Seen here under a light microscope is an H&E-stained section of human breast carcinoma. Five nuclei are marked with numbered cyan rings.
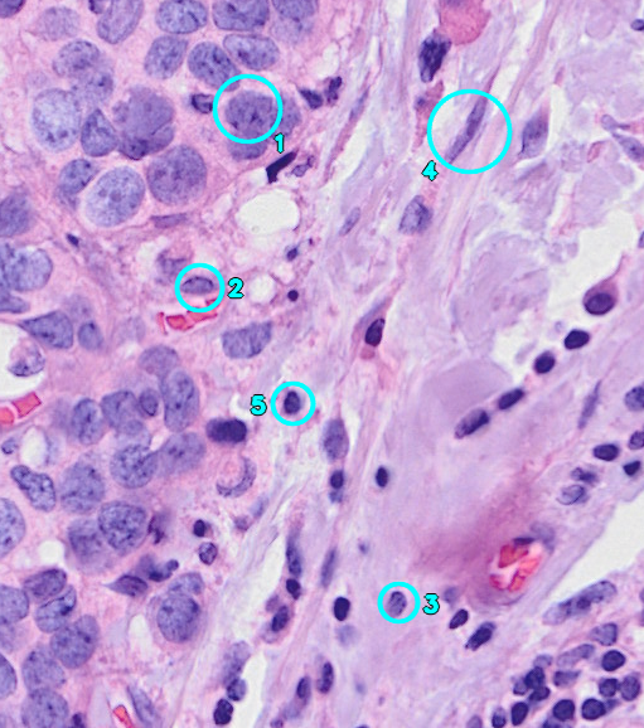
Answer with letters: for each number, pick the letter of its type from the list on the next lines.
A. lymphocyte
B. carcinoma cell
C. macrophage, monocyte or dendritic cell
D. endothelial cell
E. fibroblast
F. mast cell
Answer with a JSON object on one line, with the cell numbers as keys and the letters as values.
{"1": "B", "2": "D", "3": "A", "4": "E", "5": "A"}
